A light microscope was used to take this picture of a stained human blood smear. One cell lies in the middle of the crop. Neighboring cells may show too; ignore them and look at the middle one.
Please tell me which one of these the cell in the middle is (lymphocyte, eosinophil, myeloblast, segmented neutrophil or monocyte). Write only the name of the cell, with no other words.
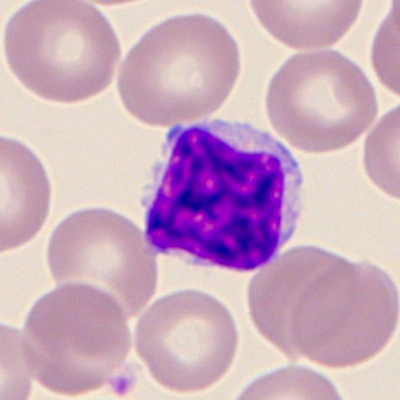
lymphocyte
